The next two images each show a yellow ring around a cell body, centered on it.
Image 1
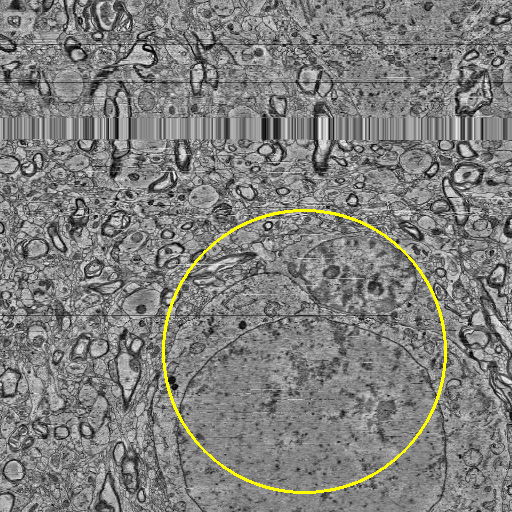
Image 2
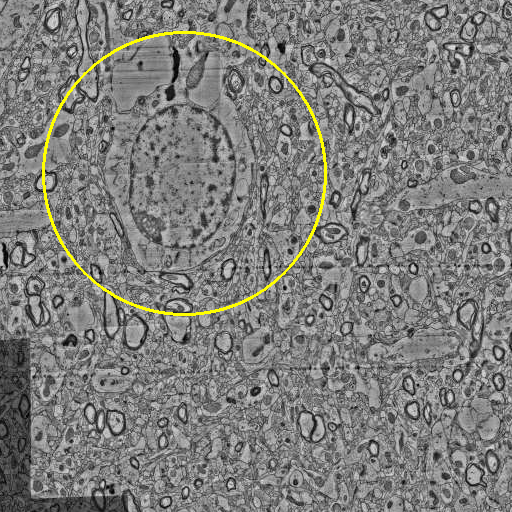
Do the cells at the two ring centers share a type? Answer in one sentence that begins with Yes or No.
No, across the two images the cells at the ring centers are of two types.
